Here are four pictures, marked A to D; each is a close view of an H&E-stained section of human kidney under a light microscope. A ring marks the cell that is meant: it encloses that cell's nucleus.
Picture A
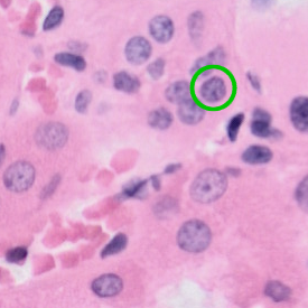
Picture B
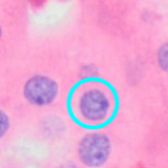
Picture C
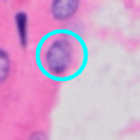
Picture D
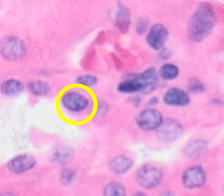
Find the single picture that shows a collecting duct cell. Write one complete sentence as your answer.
Picture A shows the collecting duct cell.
